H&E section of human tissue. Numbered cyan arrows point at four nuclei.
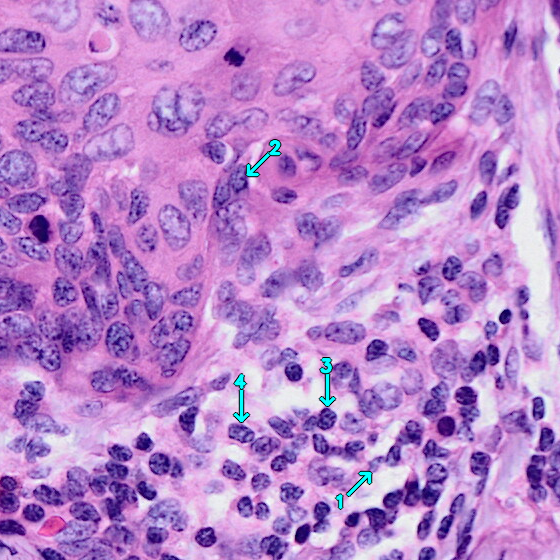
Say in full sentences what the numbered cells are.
Cell 1 is a lymphocyte, cell 2 is a squamous carcinoma cell, cell 3 is a lymphocyte and cell 4 is a lymphocyte.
